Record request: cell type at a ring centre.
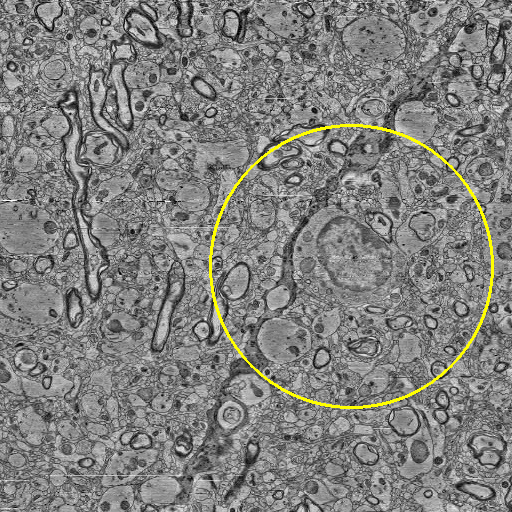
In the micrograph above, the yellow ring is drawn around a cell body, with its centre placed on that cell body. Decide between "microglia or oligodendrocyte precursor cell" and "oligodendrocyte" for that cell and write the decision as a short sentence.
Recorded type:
The cell centred in the yellow ring is an oligodendrocyte.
